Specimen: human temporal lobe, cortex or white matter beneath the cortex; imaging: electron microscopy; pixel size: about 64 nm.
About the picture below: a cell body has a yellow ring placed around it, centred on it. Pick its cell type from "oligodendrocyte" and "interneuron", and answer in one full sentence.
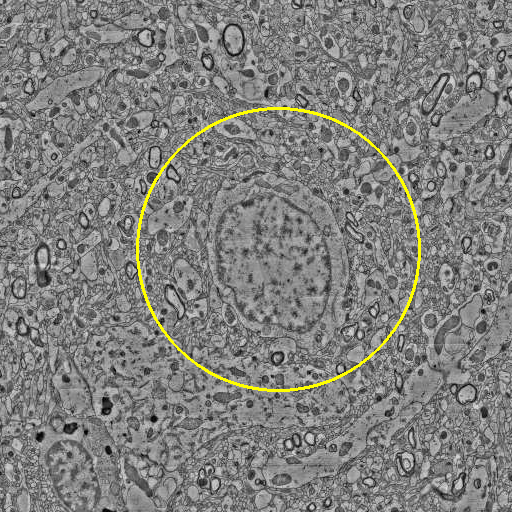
In the picture, an interneuron is the cell sitting at the centre of the yellow ring.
